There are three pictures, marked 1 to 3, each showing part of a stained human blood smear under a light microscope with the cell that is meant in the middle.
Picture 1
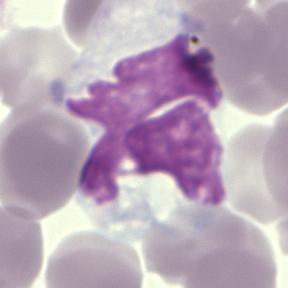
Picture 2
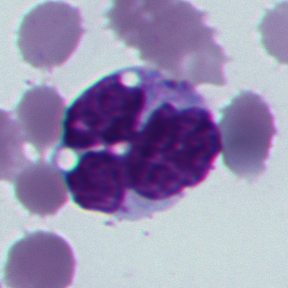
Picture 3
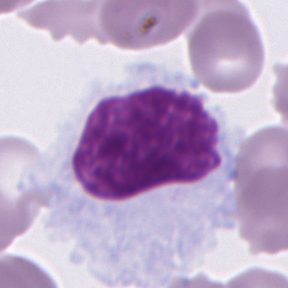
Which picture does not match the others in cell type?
3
